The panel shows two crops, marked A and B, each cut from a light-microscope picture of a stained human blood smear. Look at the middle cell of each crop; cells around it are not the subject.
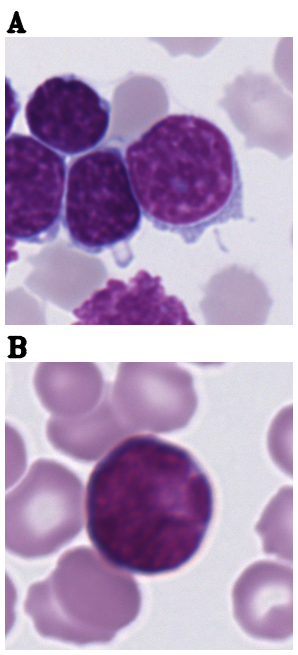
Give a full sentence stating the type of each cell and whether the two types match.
Yes, that holds, both crops show myeloblasts.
